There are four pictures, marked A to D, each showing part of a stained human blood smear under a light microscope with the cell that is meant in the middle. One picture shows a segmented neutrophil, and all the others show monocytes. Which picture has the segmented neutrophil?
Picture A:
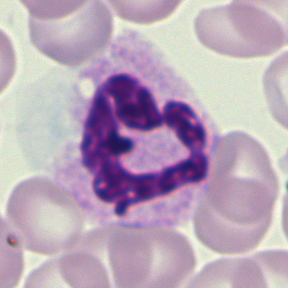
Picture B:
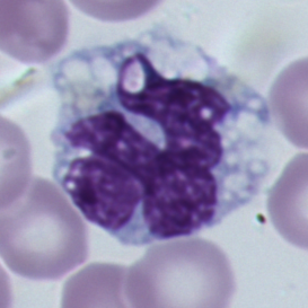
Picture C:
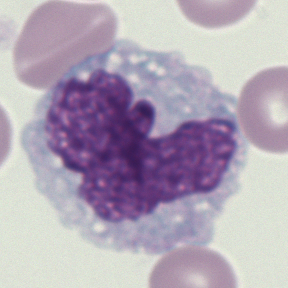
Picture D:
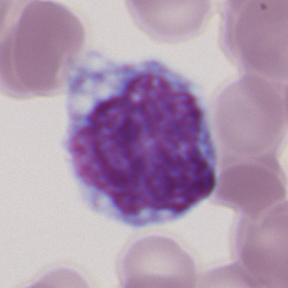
A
